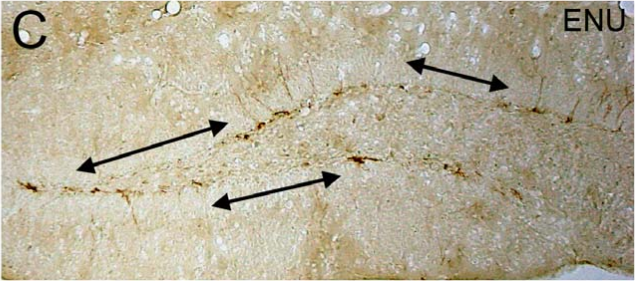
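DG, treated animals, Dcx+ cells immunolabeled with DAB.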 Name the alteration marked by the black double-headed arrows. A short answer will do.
Wide and frequent gaps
